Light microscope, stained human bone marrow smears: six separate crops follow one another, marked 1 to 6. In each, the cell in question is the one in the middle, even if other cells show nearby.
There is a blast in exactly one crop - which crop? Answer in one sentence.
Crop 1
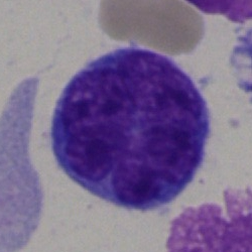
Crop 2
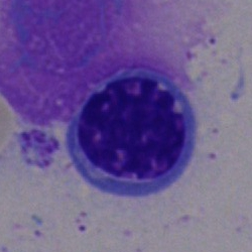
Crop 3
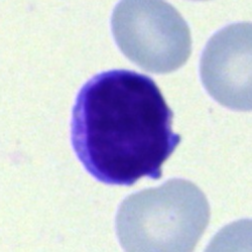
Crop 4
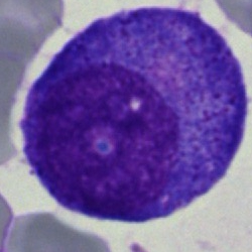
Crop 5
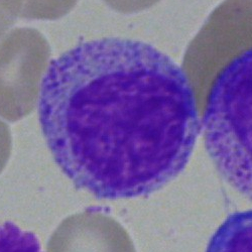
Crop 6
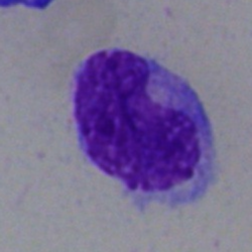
In this series, a blast is shown by crop 1.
